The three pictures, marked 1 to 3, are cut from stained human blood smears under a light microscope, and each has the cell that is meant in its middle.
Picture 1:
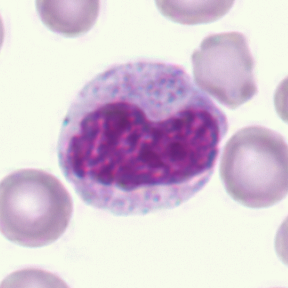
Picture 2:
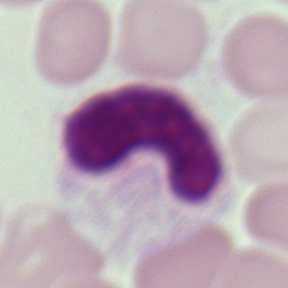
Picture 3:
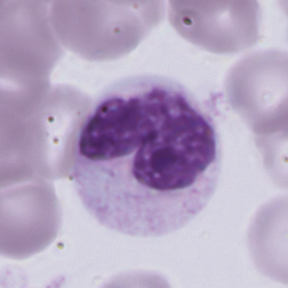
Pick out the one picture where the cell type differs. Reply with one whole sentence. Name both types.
The different one is picture 1; it shows a metamyelocyte, whereas all the others show band neutrophils.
